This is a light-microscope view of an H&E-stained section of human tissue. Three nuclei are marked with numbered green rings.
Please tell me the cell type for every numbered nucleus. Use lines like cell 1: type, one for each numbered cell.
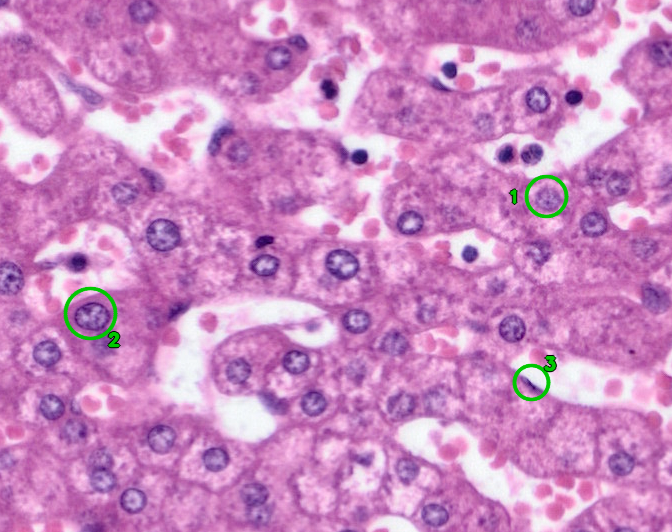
cell 1: hepatocyte
cell 2: hepatocyte
cell 3: endothelial cell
